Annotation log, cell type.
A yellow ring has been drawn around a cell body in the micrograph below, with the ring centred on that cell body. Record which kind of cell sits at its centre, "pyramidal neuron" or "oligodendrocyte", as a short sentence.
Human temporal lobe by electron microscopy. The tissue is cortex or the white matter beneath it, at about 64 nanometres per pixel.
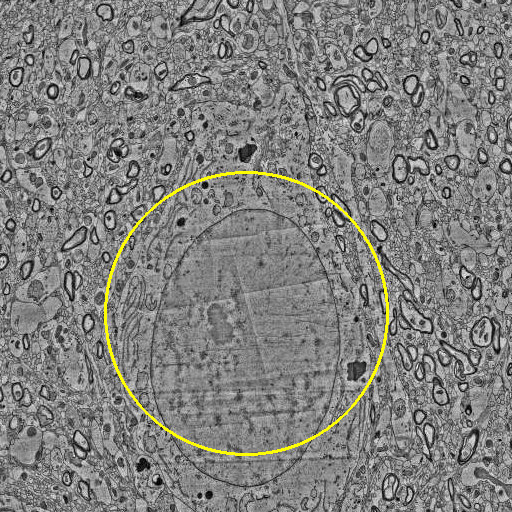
The cell at the centre of this ring is a pyramidal neuron.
